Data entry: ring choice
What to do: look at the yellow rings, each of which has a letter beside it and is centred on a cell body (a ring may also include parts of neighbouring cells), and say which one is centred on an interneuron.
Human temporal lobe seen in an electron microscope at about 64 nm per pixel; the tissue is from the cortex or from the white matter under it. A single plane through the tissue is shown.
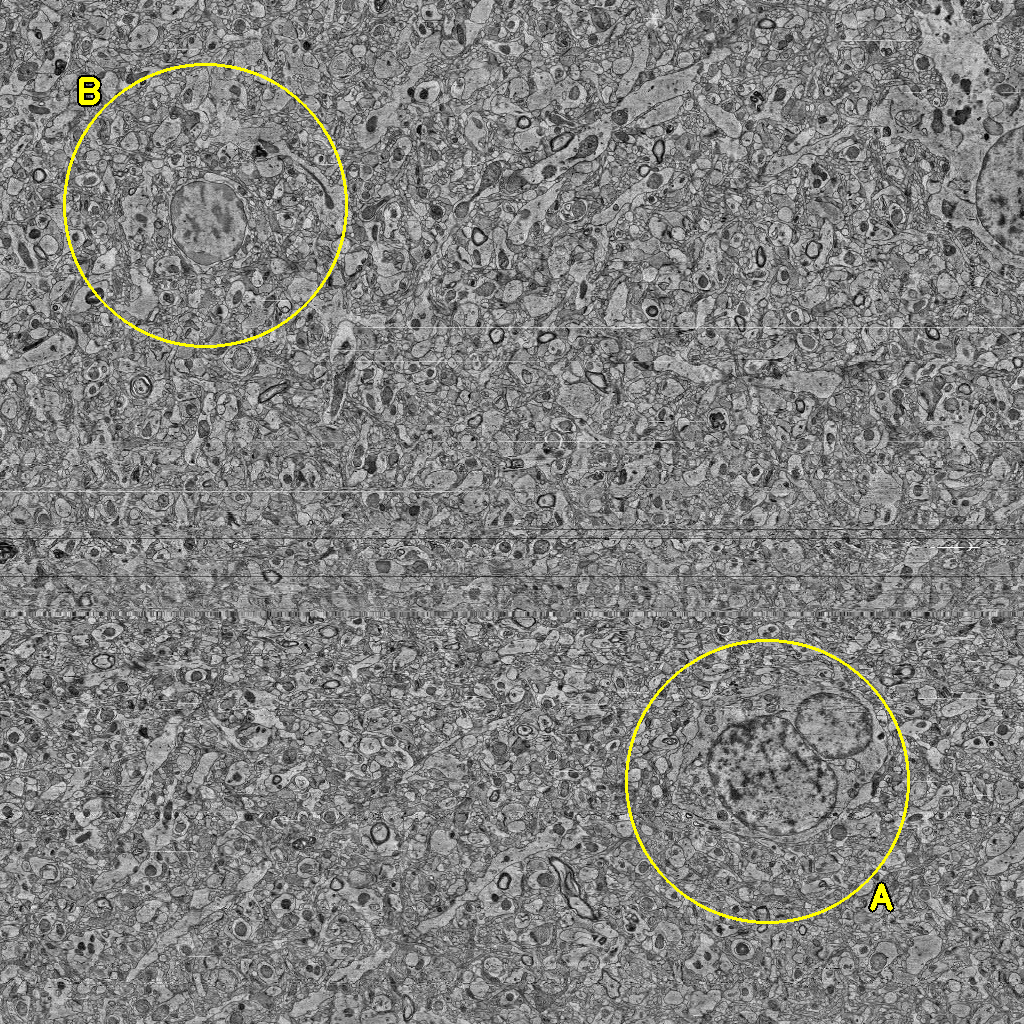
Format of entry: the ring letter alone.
A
